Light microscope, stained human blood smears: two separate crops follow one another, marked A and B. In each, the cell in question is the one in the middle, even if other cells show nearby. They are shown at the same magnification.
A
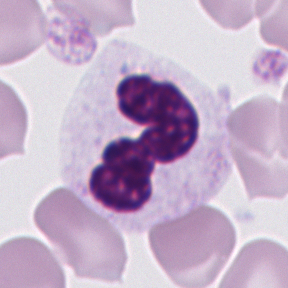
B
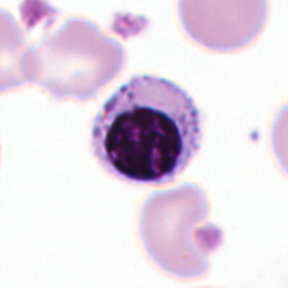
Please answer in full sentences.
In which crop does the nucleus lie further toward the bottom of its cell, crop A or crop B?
It is the nucleus in crop B that lies further toward the bottom of its cell.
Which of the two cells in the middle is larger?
It is the cell in crop A, about 2.5 times as large in area as the cell in crop B.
